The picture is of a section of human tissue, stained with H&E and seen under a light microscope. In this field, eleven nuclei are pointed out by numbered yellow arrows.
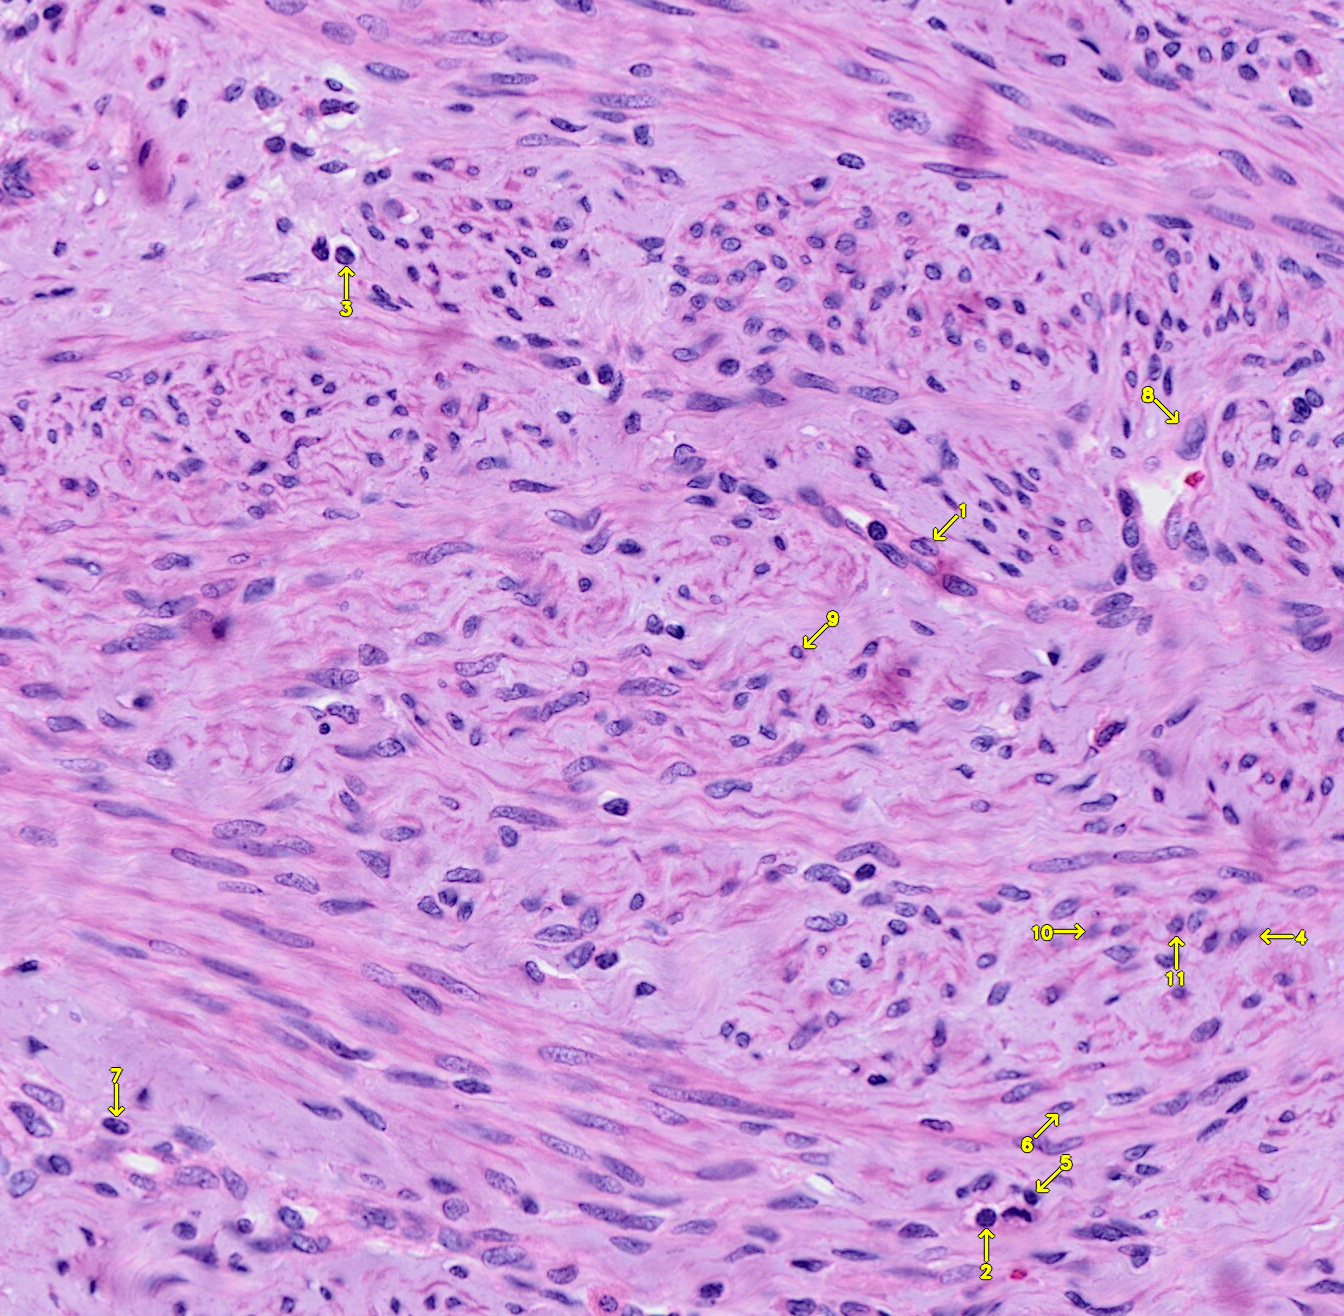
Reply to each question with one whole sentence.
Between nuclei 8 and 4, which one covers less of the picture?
It is nucleus 4; nucleus 8 has about 3 times its area.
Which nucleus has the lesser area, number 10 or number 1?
The smaller nucleus is 10, and 1 covers roughly 1.5 times its area.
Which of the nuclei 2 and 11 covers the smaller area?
Number 11 is smaller, since number 2 takes up about 1.5 times as much area.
